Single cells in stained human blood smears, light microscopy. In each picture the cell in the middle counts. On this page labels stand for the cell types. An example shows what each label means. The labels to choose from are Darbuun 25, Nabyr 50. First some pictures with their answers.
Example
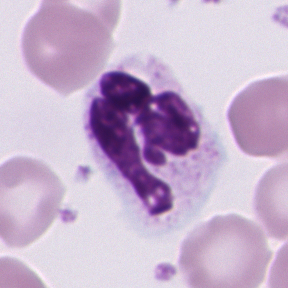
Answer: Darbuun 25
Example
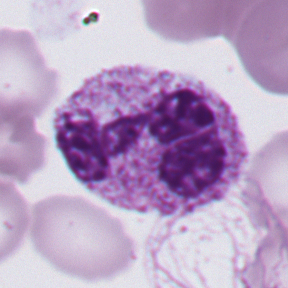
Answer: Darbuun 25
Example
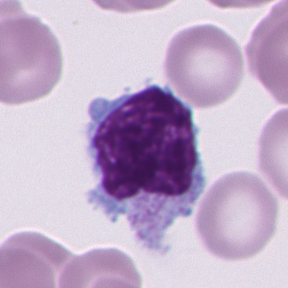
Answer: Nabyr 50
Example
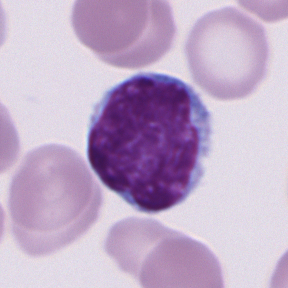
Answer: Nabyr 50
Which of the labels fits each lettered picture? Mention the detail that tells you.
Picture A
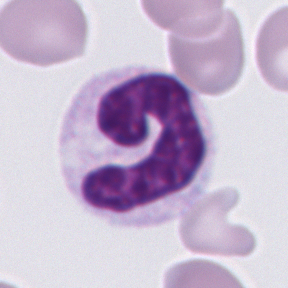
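Darbuun 25. Evidence: The nucleus is a curved band whose opening faces left.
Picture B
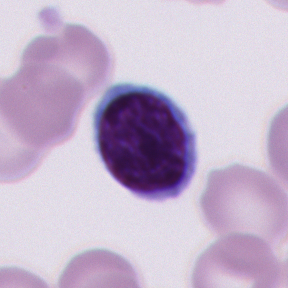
Nabyr 50. Evidence: The cytoplasm forms only a thin rim around the nucleus.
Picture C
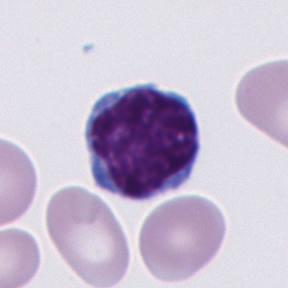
Nabyr 50. Evidence: The cytoplasm forms a thin rim that is widest at the lower left of the cell.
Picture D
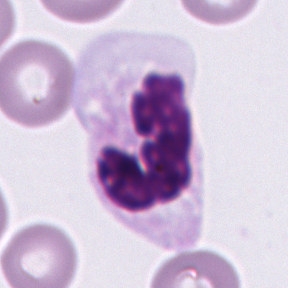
Darbuun 25. Evidence: The cytoplasm is plentiful and pale pinkish-lilac.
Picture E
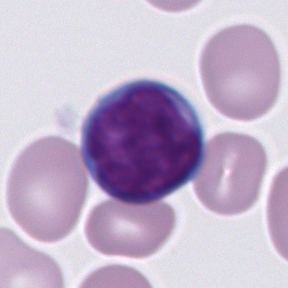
Nabyr 50. Evidence: The cytoplasm forms only a thin rim at the edge of the nucleus.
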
